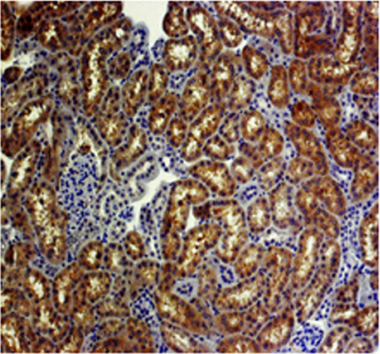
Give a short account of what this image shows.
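This is a section of kidney cortex crowded with renal tubules cut mostly in cross-section. Between the tubules lies a thin interstitium with small blue-stained nuclei and little brown colour. Near the centre-left a rounded cluster of blue nuclei without brown staining is seen among the tubules. The brown staining is strong and widespread across almost all tubular profiles in the field.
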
